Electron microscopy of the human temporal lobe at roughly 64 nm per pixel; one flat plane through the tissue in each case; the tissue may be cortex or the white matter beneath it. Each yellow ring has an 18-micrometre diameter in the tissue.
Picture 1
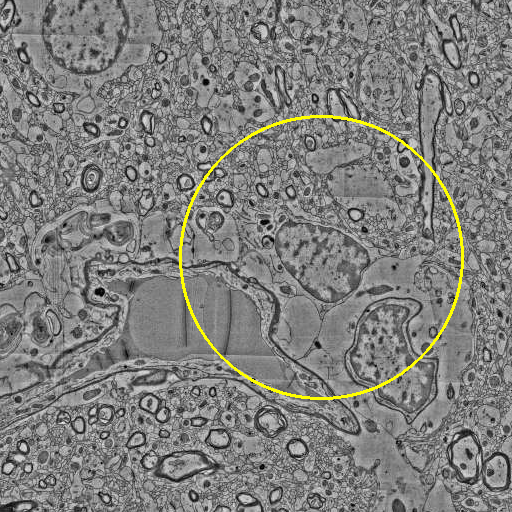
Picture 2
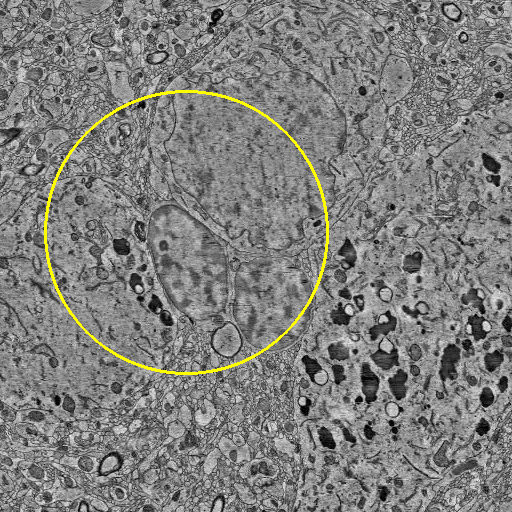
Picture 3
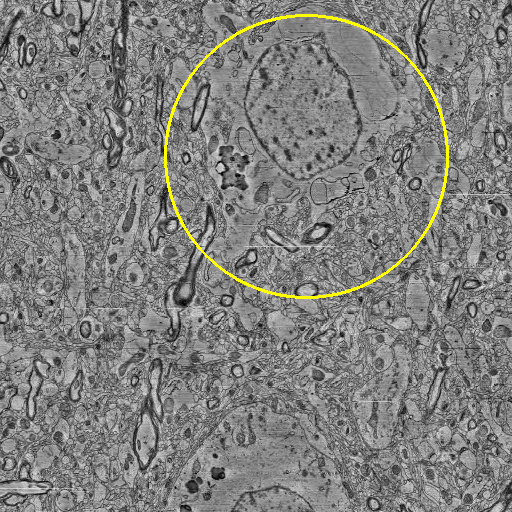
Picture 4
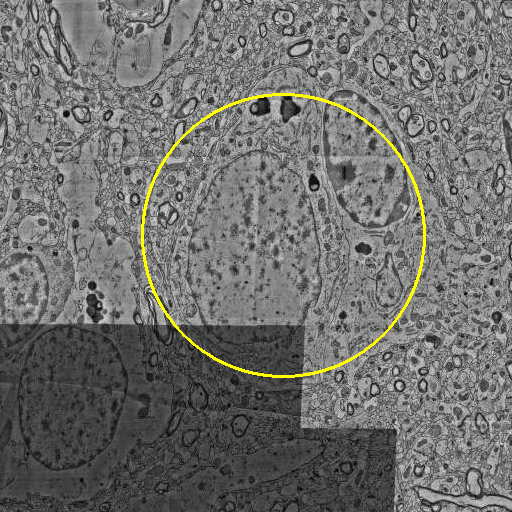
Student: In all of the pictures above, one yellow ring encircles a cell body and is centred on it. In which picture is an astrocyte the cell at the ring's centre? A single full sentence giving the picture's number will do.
Picture number 3 has the wanted cell right at the centre of its ring.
